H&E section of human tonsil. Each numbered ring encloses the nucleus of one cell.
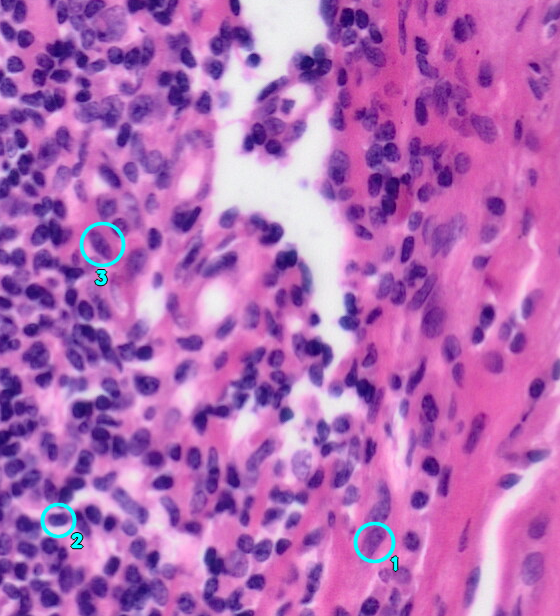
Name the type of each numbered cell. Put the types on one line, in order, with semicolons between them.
endothelial cell; small lymphocyte; endothelial cell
